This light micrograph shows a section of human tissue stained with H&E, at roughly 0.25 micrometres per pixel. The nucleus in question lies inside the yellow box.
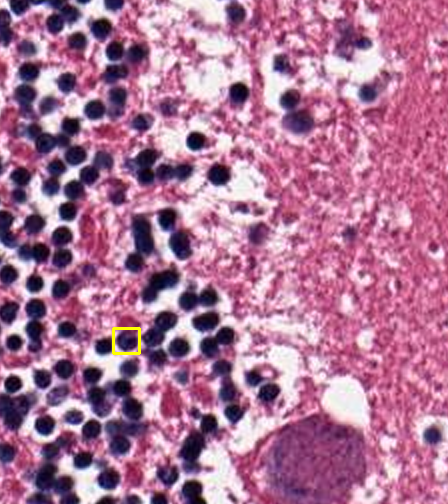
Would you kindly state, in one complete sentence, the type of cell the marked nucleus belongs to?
Indicated by the mark is a nucleus that belongs to a cerebellar granule cell.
